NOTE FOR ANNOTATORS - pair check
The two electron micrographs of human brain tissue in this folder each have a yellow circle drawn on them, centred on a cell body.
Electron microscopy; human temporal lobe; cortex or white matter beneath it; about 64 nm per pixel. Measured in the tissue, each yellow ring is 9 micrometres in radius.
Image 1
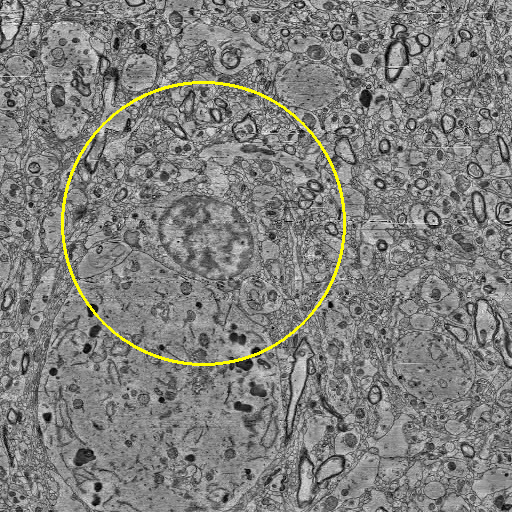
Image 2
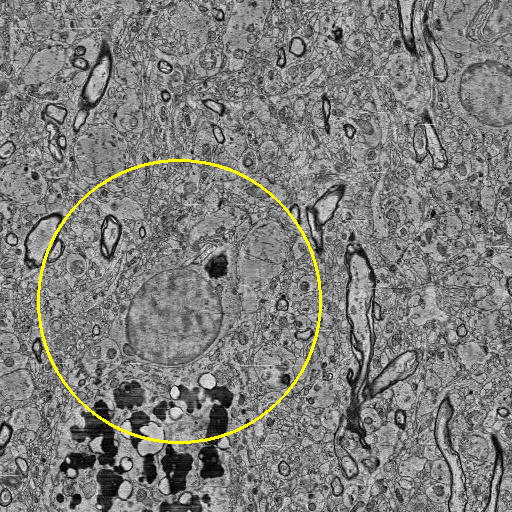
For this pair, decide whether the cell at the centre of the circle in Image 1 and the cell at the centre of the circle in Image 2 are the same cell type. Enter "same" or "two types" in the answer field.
same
